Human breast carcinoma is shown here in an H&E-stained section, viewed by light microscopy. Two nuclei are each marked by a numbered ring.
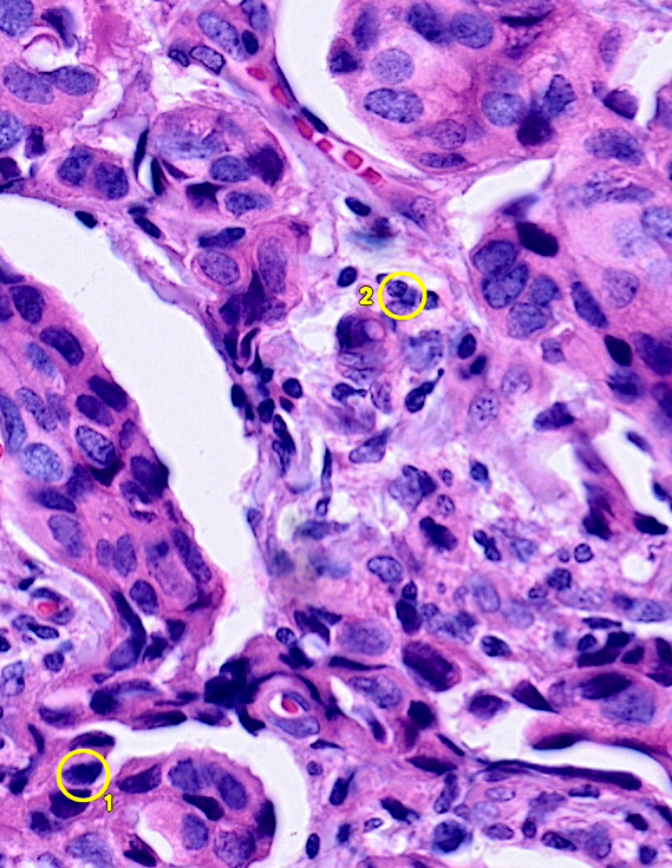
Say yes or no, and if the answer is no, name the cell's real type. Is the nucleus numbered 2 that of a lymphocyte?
Yes.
